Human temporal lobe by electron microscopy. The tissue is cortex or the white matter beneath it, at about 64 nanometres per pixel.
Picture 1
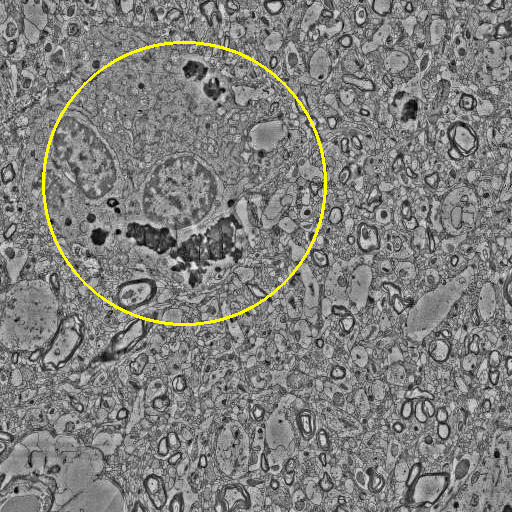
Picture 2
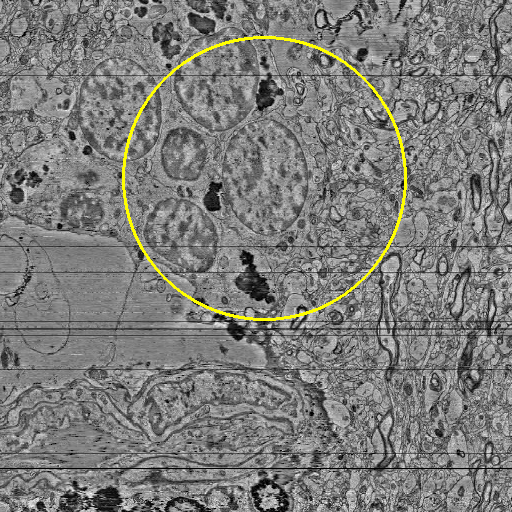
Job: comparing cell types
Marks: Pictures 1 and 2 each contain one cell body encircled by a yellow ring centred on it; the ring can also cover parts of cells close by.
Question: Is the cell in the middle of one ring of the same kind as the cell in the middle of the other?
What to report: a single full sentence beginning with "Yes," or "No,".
Yes, the cell at the ring centre in Picture 1 and its partner in Picture 2 are of one kind.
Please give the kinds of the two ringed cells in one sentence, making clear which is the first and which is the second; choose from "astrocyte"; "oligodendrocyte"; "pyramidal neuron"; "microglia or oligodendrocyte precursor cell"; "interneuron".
The first and the second cell are each an oligodendrocyte.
